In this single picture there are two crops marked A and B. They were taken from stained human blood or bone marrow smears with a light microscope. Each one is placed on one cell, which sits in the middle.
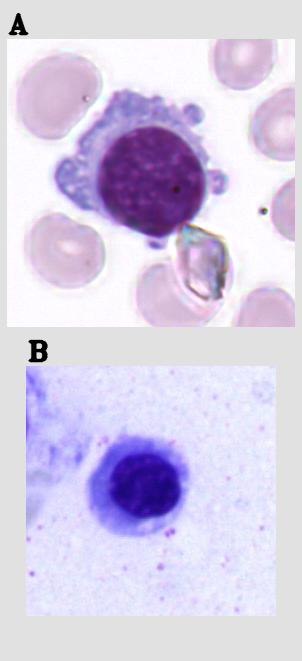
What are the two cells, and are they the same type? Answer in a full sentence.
No, crop A corresponds to a plasma cell, while crop B corresponds to an erythroblast.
